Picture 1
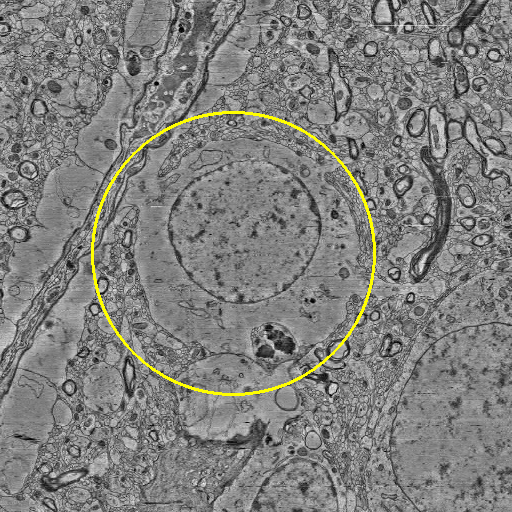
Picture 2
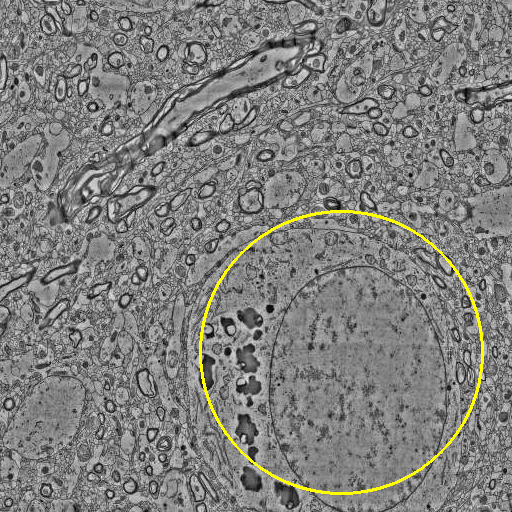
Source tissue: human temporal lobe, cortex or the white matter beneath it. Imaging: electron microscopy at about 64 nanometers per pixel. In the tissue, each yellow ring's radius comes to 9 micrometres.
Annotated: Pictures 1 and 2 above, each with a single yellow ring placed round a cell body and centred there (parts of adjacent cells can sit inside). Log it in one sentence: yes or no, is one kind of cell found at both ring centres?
No, the ring centres of the two pictures hold cells of two kinds.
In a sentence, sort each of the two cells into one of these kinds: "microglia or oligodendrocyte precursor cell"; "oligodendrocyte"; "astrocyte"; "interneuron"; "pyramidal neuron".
The first of the two cells is an astrocyte, and the second is a pyramidal neuron.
